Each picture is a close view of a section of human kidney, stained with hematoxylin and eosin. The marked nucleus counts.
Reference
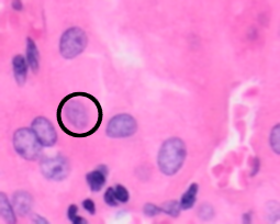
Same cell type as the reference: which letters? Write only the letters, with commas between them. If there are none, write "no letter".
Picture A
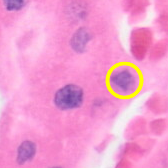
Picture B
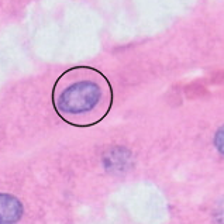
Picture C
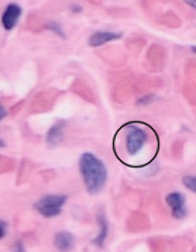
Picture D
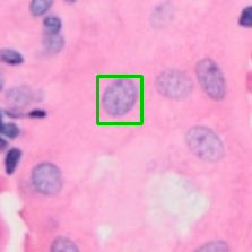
A, B, D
